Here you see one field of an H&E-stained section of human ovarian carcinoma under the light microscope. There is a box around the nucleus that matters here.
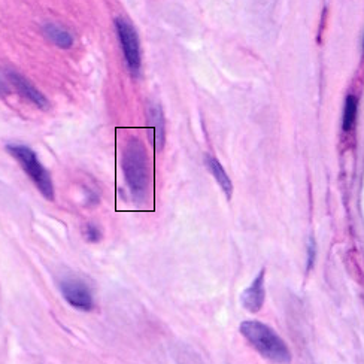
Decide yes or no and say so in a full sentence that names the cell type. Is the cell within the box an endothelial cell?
No, it is a smooth muscle cell, not an endothelial cell, that the cell within the box represents.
